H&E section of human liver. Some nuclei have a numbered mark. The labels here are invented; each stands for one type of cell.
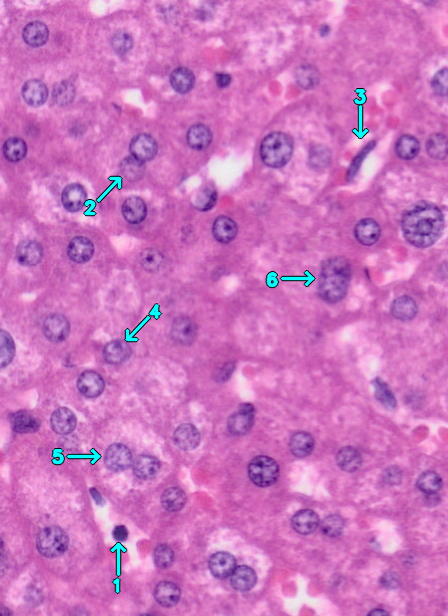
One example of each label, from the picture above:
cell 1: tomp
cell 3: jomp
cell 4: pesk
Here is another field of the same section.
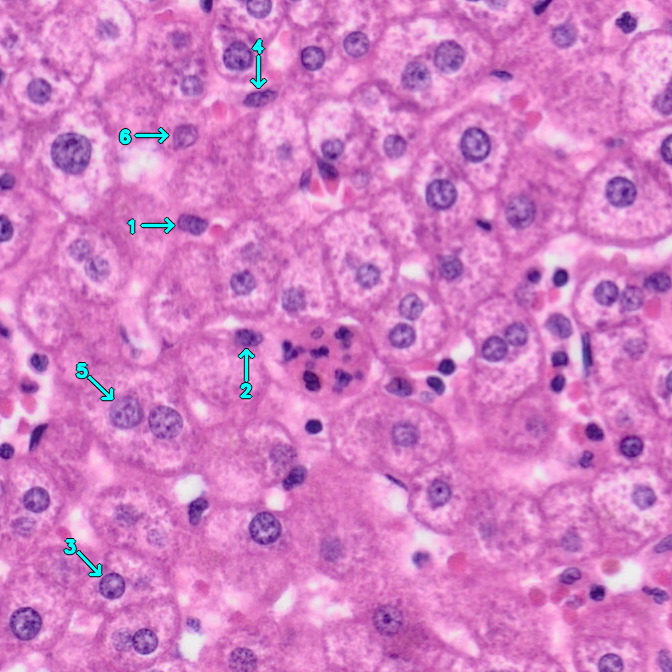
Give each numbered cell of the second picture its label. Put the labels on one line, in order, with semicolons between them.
jomp; jomp; pesk; jomp; pesk; pesk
